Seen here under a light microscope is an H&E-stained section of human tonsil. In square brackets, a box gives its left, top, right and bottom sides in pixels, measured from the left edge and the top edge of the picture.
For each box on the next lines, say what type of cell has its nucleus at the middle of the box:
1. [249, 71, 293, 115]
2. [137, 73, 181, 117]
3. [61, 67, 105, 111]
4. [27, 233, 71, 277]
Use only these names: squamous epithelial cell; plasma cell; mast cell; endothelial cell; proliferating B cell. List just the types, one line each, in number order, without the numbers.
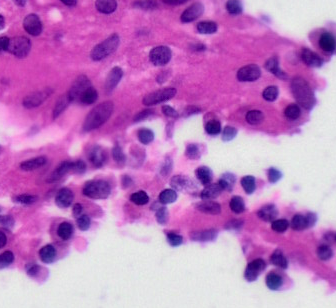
squamous epithelial cell
squamous epithelial cell
squamous epithelial cell
plasma cell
